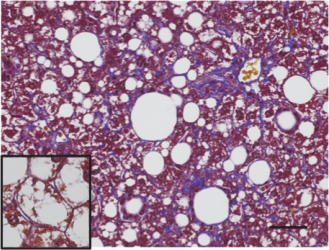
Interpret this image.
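Liver tissue in which the red-stained hepatocytes are interspersed with many round, clear vacuoles of very unequal size, some far larger than a cell. Thin blue strands weave a network between the cells and around the vacuoles, and the inset shows a swollen hepatocyte with pale, cleared cytoplasm. This is a fatty liver with steatosis, fibrillar collagen deposition and hepatocyte ballooning.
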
